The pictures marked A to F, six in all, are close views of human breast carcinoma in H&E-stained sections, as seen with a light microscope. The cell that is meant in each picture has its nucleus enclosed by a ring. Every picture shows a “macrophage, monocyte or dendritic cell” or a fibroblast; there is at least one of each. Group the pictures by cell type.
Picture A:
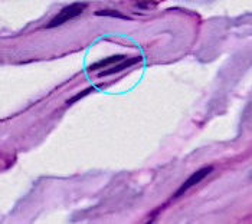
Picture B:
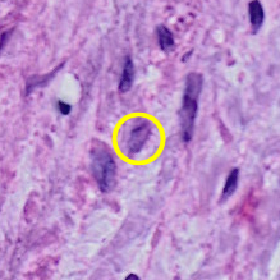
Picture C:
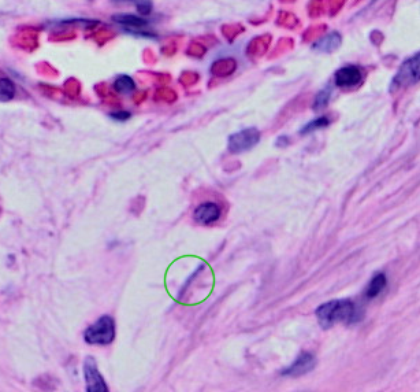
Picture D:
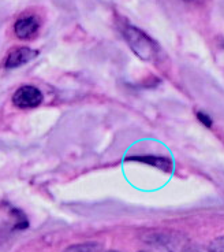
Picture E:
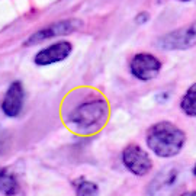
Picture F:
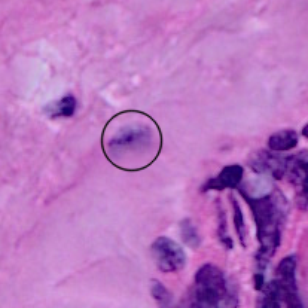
A: fibroblast
B: macrophage, monocyte or dendritic cell
C: fibroblast
D: fibroblast
E: macrophage, monocyte or dendritic cell
F: fibroblast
